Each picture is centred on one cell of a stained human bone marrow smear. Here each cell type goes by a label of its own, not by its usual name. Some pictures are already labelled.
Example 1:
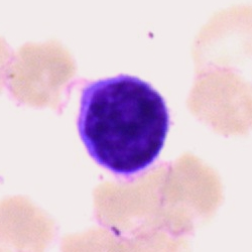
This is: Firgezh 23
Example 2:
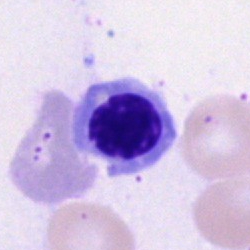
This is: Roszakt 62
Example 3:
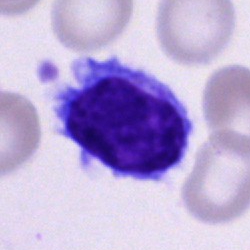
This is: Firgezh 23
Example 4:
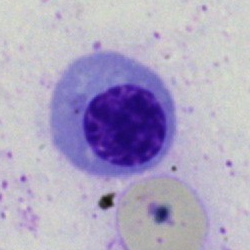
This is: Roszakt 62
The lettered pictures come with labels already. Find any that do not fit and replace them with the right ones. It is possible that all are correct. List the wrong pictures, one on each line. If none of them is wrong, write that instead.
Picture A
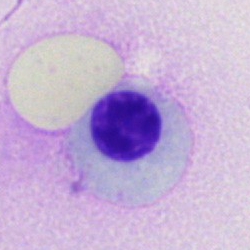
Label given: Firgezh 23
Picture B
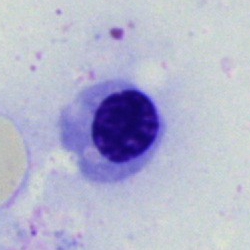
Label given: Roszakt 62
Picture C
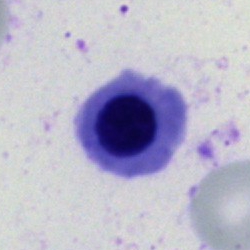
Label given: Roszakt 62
A should be Roszakt 62, not Firgezh 23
